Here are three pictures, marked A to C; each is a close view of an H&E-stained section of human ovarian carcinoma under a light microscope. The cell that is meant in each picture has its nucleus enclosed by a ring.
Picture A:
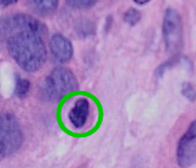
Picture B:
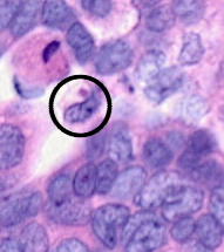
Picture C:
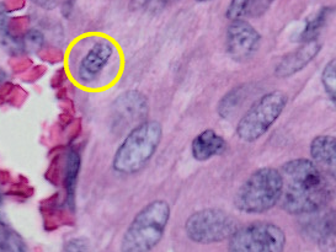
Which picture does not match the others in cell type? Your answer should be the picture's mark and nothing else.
A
